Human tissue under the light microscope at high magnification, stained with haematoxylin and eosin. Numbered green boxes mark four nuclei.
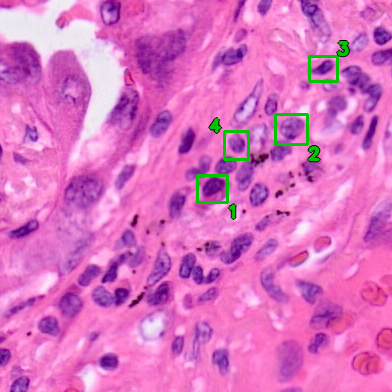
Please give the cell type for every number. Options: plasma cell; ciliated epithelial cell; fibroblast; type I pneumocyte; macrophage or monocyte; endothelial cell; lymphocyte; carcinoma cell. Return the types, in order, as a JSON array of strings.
["plasma cell", "lymphocyte", "lymphocyte", "lymphocyte"]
